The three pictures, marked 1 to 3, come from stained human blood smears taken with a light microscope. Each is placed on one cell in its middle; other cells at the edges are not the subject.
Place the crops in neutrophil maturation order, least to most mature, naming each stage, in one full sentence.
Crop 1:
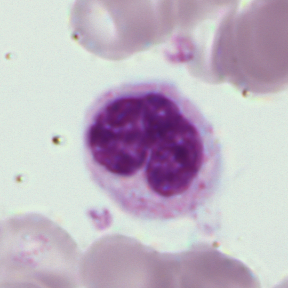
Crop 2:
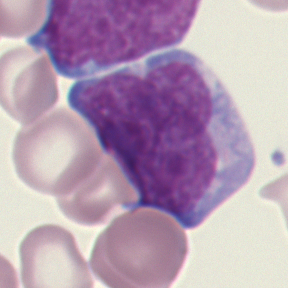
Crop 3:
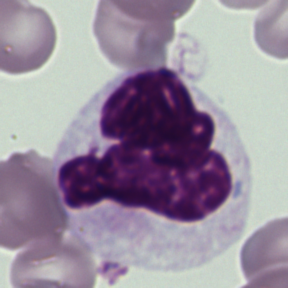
Sequenced by maturity from least to most, the crops are crop 2 (a myeloblast), crop 1 (a band neutrophil) and crop 3 (a segmented neutrophil).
